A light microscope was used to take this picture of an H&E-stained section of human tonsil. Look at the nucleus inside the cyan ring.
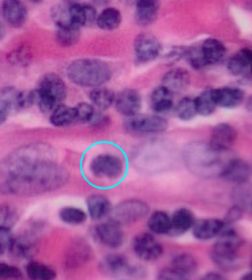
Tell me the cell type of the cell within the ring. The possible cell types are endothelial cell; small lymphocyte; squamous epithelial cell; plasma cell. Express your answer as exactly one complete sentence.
Assigned to a cell type, the cell within the ring is an endothelial cell.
